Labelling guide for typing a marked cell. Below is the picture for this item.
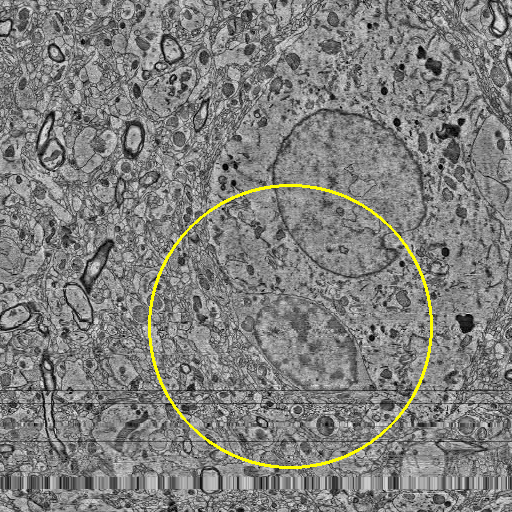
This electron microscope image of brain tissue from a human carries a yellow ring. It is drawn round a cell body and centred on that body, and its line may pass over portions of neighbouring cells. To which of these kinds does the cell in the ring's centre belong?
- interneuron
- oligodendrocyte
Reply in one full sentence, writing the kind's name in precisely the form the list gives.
Here we have an oligodendrocyte at the centre of the yellow ring in the picture.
